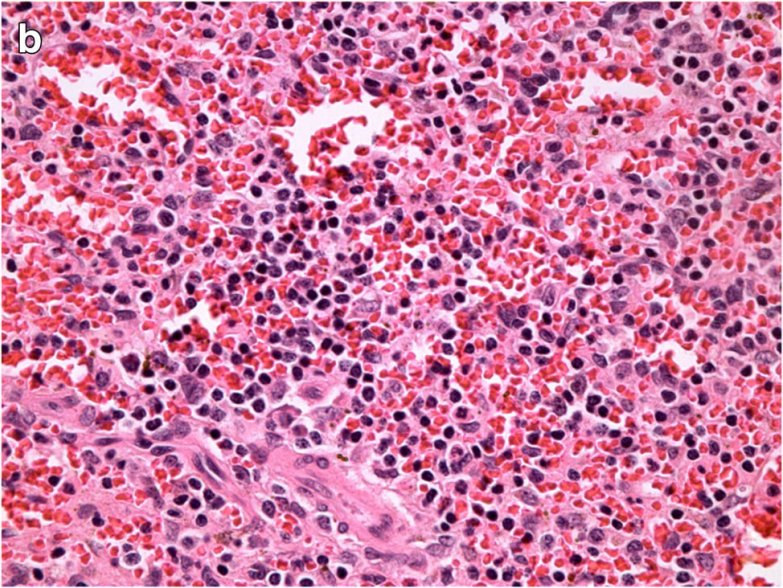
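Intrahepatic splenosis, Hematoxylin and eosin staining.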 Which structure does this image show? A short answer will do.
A: Sinusoidal structures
